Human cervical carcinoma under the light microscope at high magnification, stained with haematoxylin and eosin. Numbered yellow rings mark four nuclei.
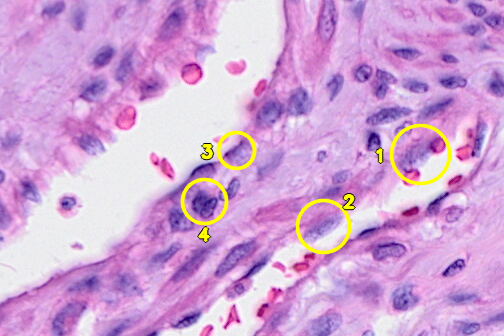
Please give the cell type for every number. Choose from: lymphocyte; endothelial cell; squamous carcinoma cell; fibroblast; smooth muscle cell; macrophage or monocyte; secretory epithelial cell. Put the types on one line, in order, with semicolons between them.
endothelial cell; endothelial cell; endothelial cell; lymphocyte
